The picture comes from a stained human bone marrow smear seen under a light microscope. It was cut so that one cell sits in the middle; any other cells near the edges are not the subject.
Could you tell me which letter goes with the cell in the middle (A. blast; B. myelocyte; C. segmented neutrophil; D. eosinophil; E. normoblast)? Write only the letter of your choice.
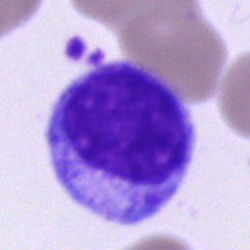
B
